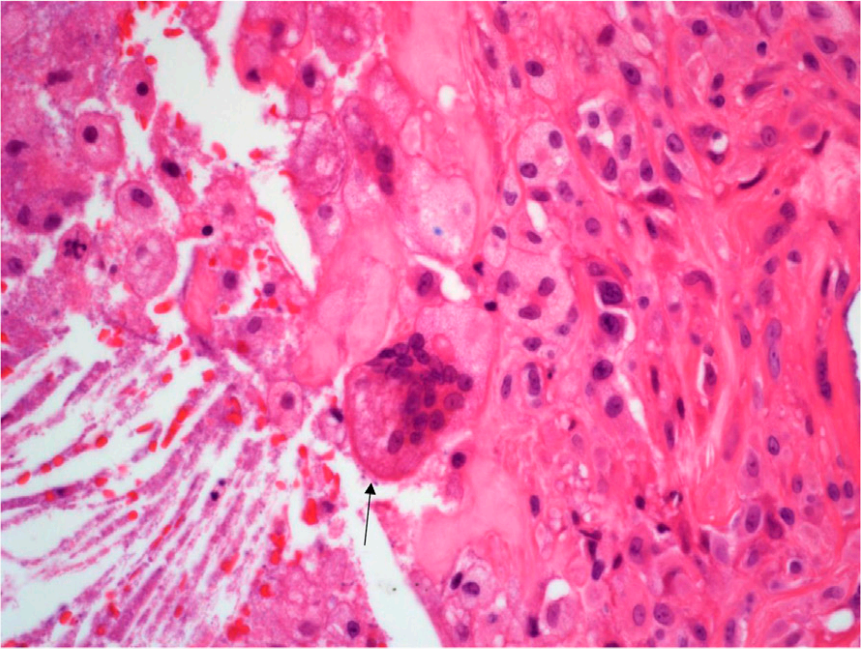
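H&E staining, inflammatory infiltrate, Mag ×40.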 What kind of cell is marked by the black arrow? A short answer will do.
Foreign body multi-nucleated giant cells.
